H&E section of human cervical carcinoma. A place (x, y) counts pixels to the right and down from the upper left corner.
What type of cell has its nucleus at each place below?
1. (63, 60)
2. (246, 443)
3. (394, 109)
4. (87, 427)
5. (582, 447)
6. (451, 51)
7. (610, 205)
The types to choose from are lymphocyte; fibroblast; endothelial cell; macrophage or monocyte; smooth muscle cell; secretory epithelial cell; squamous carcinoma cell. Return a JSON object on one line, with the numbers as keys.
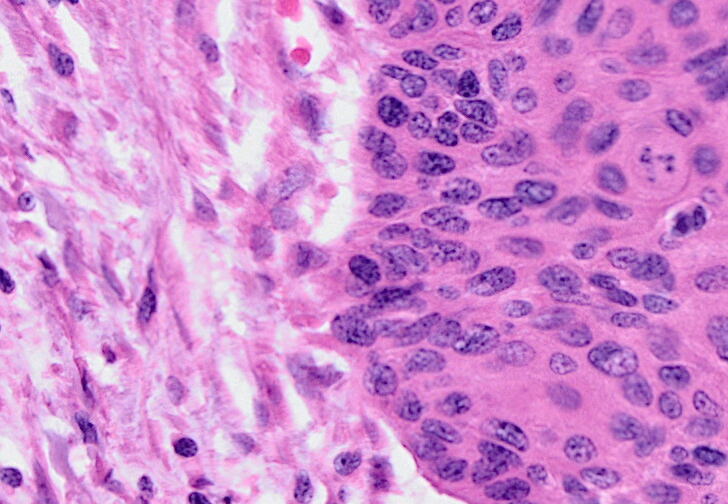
{"1": "macrophage or monocyte", "2": "fibroblast", "3": "squamous carcinoma cell", "4": "fibroblast", "5": "squamous carcinoma cell", "6": "squamous carcinoma cell", "7": "squamous carcinoma cell"}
